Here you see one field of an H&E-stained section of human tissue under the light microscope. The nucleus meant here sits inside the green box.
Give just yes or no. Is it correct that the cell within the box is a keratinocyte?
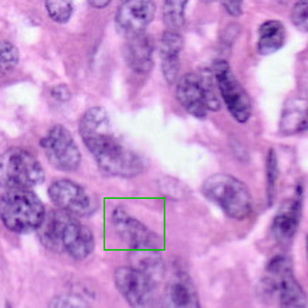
no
